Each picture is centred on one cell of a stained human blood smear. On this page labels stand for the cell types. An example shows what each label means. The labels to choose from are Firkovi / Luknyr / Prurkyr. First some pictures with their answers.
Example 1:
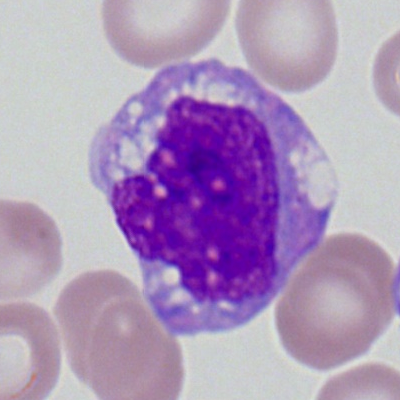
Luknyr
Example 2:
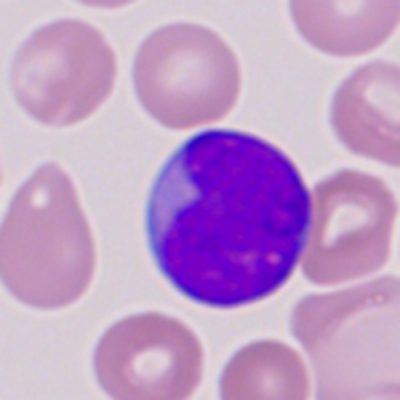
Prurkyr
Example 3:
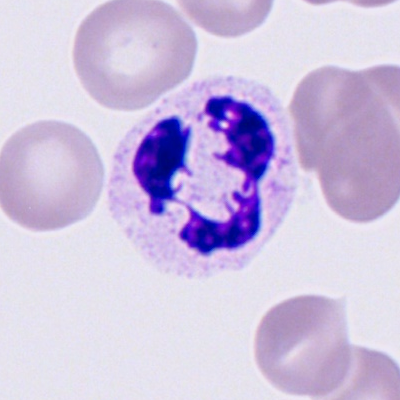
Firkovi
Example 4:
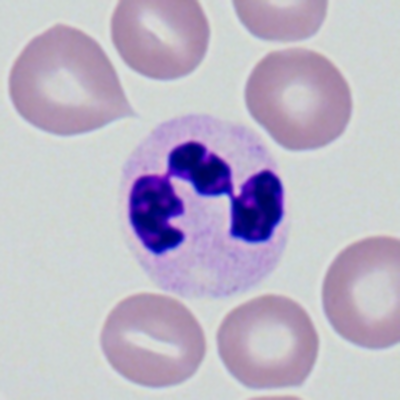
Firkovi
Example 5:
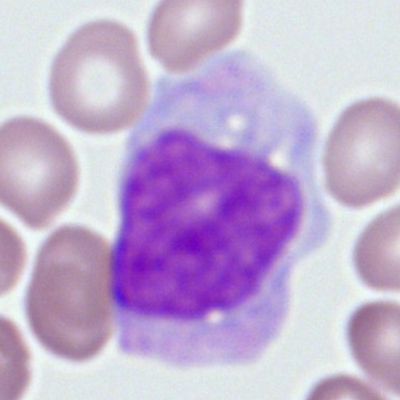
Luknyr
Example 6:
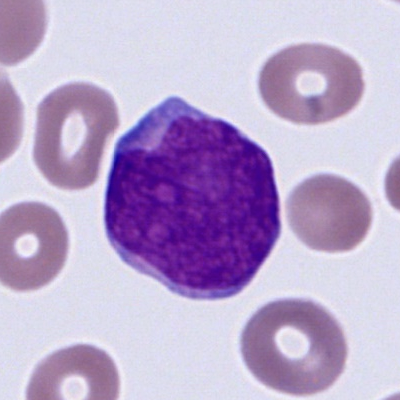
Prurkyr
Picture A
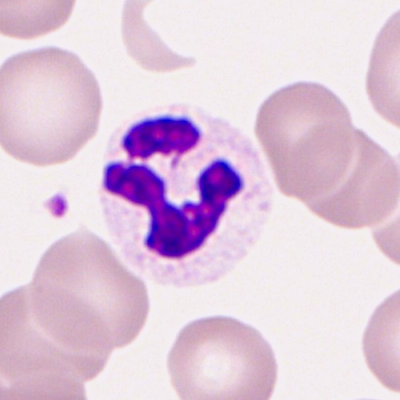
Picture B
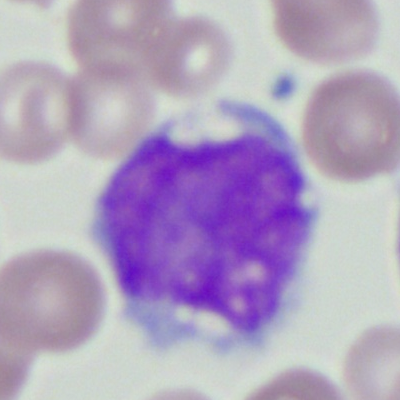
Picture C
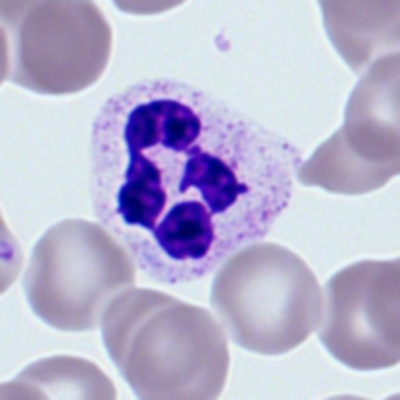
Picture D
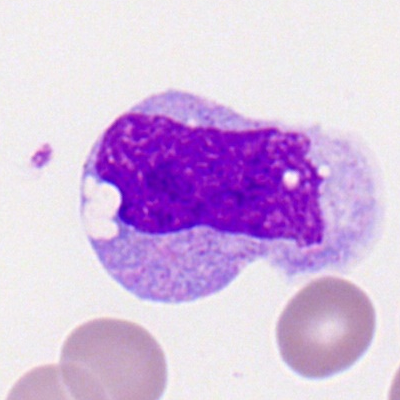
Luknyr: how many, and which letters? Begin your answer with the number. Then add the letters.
2, namely B, D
